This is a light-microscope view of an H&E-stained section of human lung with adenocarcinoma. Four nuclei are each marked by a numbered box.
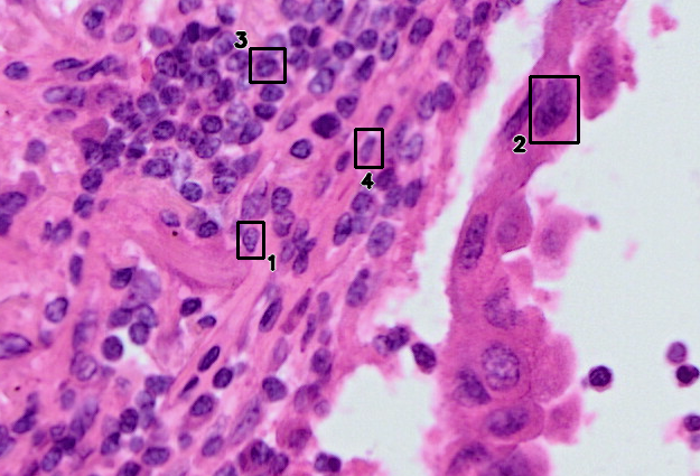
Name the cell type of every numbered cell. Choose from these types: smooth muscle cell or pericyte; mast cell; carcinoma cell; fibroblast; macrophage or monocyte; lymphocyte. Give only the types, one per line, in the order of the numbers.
lymphocyte
carcinoma cell
lymphocyte
lymphocyte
